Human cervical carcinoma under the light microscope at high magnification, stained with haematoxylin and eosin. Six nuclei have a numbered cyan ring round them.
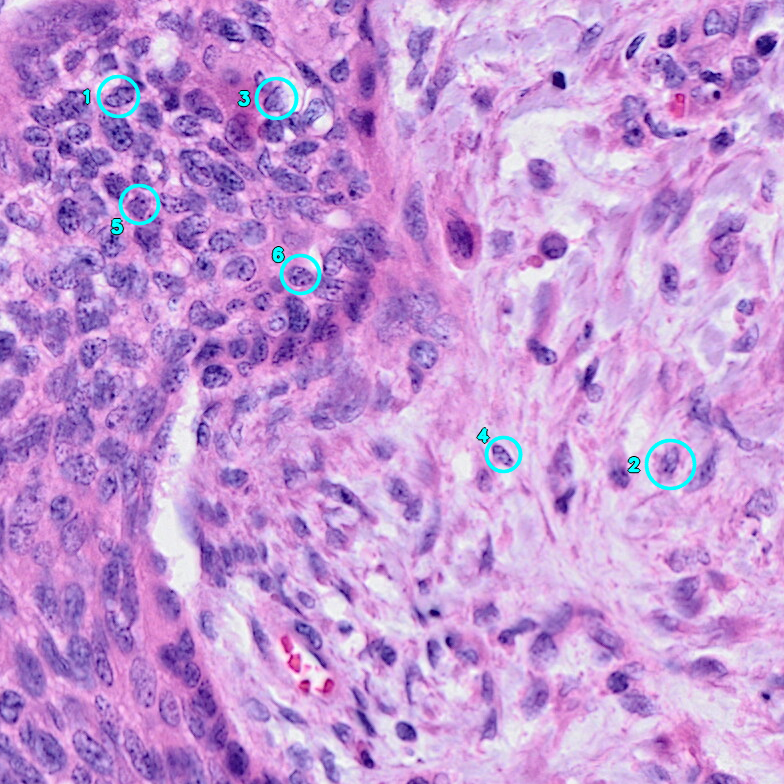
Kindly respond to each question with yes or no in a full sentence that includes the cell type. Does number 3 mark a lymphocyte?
No, it is a squamous carcinoma cell, not a lymphocyte, that number 3 marks.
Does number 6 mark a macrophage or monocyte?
No, cell 6 is not a macrophage or monocyte: it is a squamous carcinoma cell.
